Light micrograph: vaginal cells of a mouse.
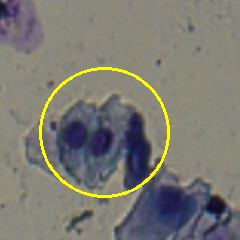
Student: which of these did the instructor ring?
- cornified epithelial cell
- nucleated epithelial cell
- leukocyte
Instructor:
The cell I ringed is a nucleated epithelial cell.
